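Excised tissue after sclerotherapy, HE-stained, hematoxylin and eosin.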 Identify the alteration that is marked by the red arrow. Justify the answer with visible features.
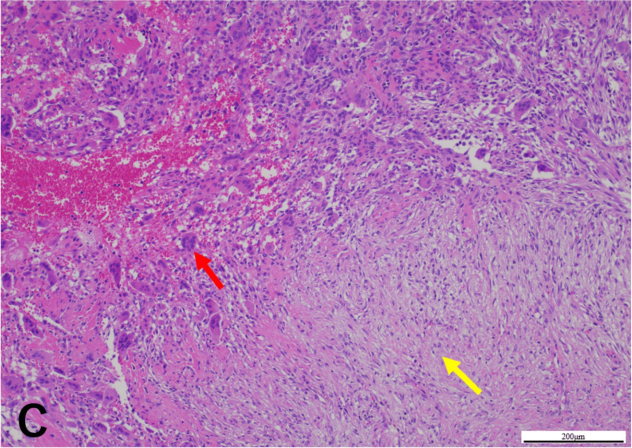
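Giant cell lesions. Large cells with multiple nuclei near a hemorrhagic area. Darker, more cellular region than the pale spindle cell area.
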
